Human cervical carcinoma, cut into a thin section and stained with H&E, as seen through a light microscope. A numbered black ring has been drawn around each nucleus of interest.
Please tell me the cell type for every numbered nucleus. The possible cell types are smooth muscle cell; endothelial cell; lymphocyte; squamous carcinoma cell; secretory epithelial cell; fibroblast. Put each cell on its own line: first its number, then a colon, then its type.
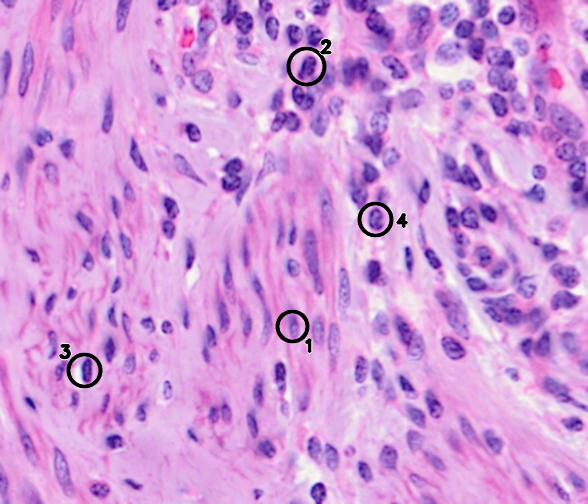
1: smooth muscle cell
2: lymphocyte
3: lymphocyte
4: lymphocyte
